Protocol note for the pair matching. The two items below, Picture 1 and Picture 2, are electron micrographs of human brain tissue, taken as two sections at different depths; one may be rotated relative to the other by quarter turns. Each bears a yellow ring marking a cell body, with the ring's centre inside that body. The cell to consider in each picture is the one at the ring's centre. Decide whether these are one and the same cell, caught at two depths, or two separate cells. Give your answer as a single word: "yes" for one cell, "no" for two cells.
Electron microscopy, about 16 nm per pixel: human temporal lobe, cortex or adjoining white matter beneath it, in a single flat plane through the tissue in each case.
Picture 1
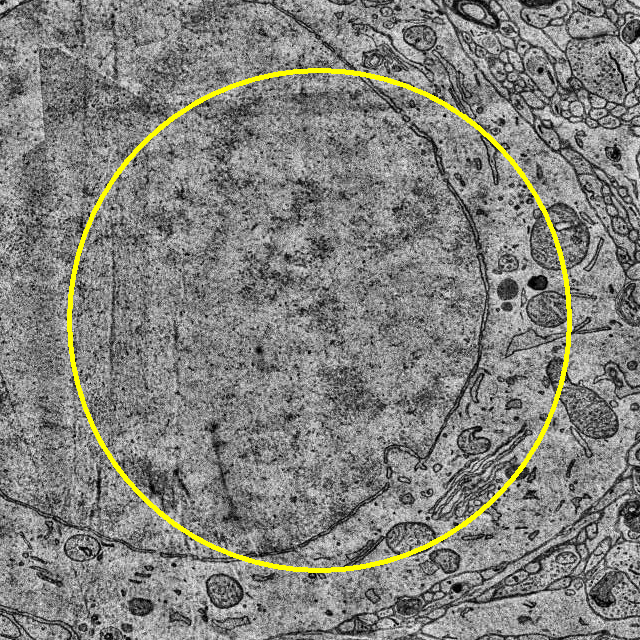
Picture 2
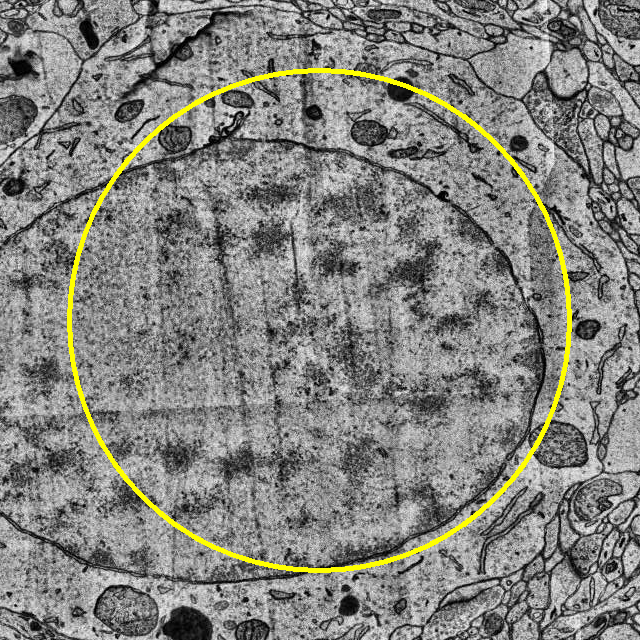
no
